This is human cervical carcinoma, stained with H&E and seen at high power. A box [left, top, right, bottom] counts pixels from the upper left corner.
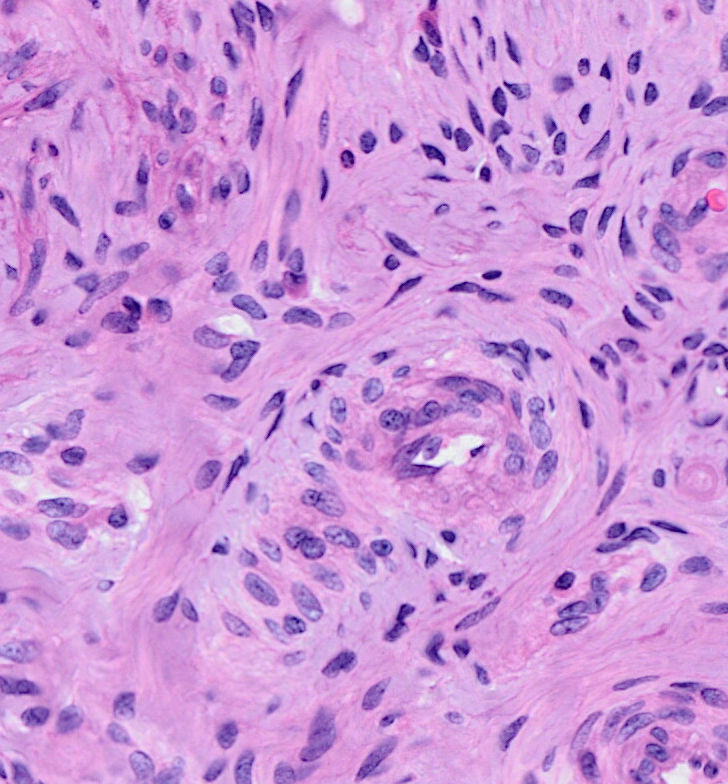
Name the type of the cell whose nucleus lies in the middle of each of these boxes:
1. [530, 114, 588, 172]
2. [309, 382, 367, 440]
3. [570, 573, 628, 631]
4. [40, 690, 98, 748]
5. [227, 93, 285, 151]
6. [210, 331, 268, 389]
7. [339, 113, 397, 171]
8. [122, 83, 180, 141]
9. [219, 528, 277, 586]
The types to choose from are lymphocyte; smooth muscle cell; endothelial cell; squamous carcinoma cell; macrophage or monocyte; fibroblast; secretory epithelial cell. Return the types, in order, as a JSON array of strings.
["fibroblast", "smooth muscle cell", "endothelial cell", "fibroblast", "fibroblast", "fibroblast", "fibroblast", "smooth muscle cell", "smooth muscle cell"]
